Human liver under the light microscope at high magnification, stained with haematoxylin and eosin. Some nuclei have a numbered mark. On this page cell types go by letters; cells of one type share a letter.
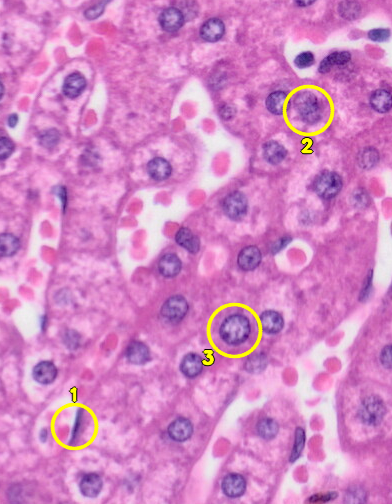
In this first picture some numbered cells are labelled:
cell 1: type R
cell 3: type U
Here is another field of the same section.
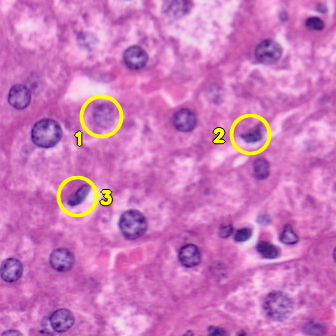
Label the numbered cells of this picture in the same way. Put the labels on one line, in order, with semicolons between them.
type U; type R; type R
